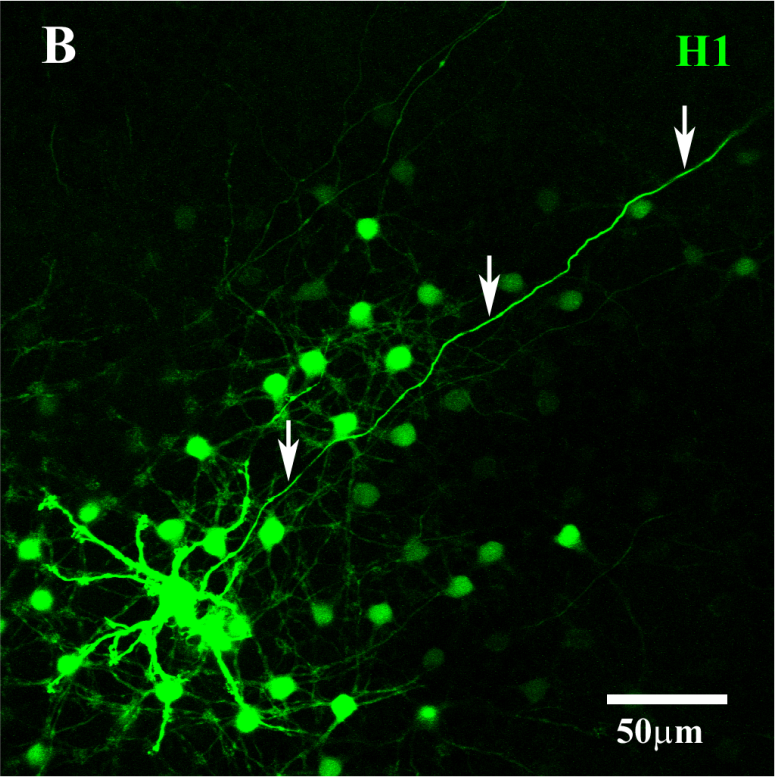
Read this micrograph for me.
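This flat view of retina shows one brightly filled horizontal cell and its axon among more faintly labelled neighbouring cell bodies. The filled cell at lower left has a large irregular soma from which short, thick, much-branched dendrites radiate in all directions, bearing small knobby endings. From it a single very thin, smooth process runs in a nearly straight line to the upper right and leaves the field, slightly beaded and wavy along its course. Around it lie many rounded somata of similar size, spaced fairly evenly, less bright than the filled cell, with fine processes between them.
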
